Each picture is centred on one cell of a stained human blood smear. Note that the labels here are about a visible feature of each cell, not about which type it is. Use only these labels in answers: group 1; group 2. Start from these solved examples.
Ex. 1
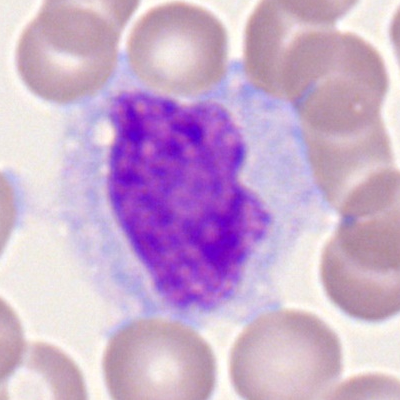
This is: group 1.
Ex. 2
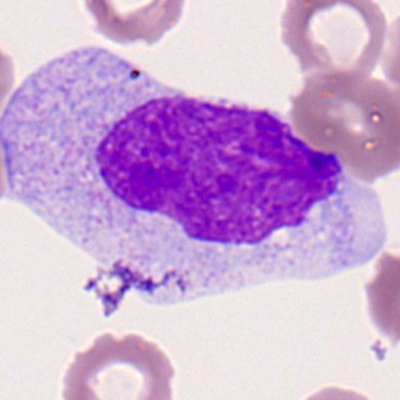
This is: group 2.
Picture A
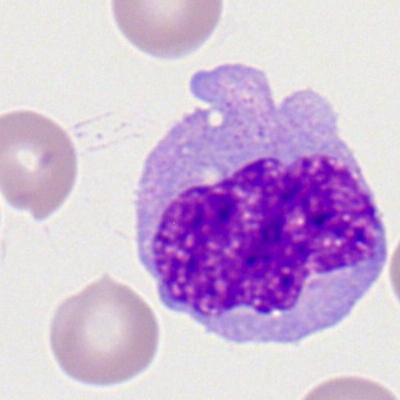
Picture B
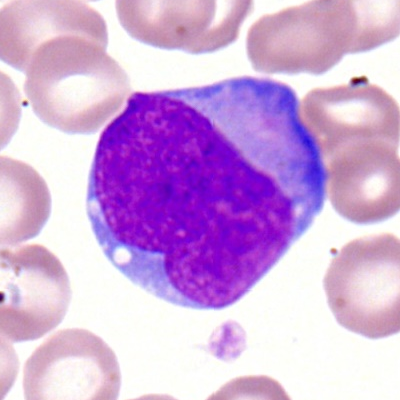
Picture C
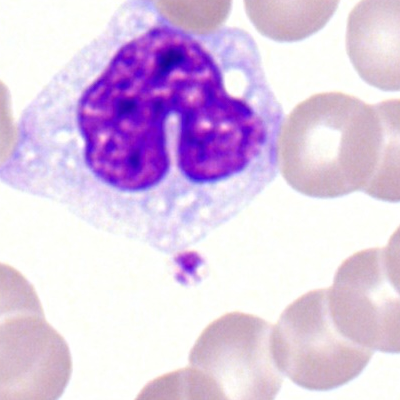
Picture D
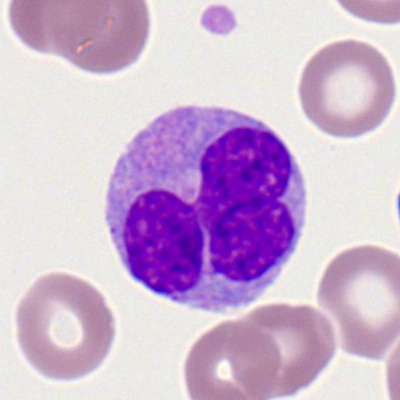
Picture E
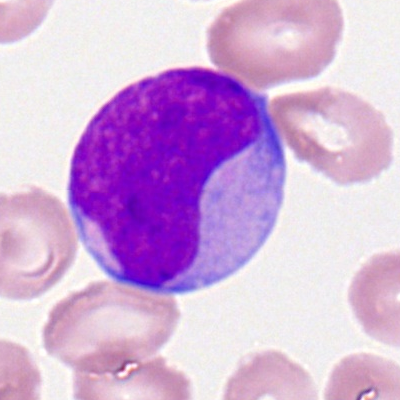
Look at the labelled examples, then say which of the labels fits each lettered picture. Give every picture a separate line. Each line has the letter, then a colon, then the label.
A: group 1.
B: group 1.
C: group 1.
D: group 2.
E: group 2.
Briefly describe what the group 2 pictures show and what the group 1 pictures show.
In group 2: no vacuoles. In group 1: vacuoles present.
